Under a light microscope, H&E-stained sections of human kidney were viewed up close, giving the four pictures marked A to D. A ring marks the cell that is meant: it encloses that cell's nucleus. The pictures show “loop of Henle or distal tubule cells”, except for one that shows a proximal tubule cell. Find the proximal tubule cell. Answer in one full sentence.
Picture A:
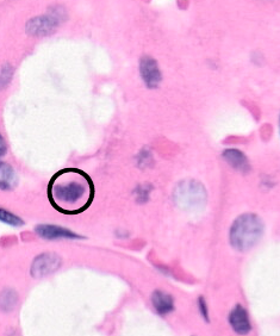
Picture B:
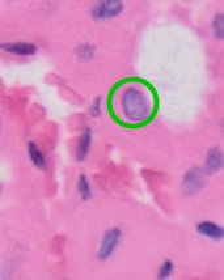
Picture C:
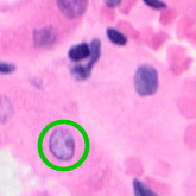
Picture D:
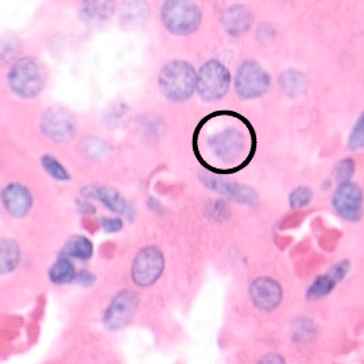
It is picture C that shows the proximal tubule cell.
